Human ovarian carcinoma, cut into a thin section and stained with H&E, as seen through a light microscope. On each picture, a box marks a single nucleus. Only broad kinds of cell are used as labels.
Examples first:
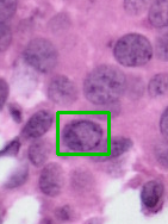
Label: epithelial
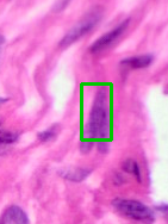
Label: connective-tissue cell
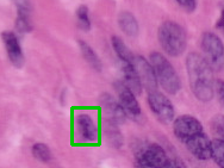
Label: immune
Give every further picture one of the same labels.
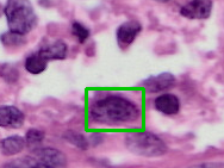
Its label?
epithelial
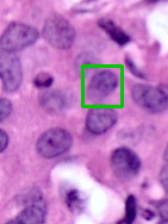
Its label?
epithelial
